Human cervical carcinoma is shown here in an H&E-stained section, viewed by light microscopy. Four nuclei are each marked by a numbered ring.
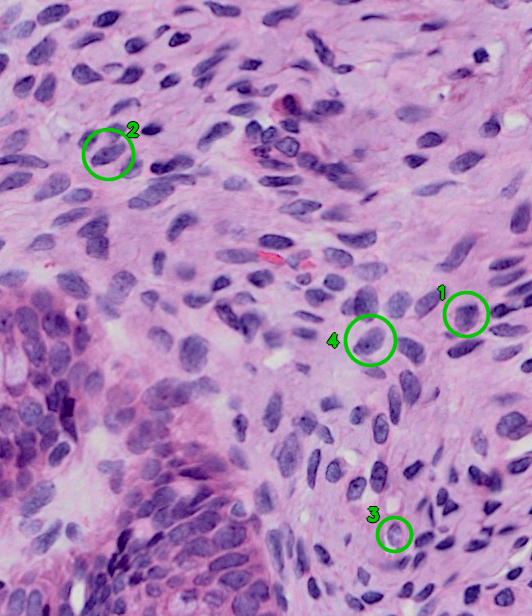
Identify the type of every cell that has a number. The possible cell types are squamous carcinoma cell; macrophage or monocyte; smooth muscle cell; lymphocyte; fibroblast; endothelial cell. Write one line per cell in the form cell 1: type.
cell 1: fibroblast
cell 2: fibroblast
cell 3: endothelial cell
cell 4: fibroblast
